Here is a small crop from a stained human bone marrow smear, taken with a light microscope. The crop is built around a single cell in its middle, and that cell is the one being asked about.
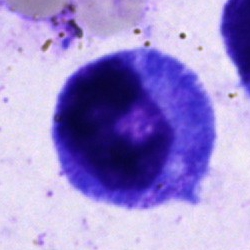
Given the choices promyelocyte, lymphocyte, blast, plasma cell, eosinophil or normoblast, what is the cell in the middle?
promyelocyte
